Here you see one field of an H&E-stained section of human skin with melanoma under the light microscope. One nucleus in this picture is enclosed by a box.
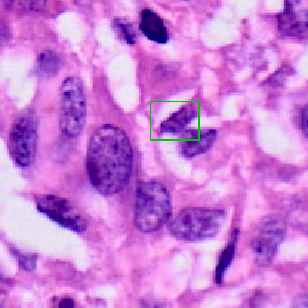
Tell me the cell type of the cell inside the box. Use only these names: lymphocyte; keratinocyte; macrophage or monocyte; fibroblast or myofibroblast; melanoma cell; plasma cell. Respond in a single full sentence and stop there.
In cellular terms, the cell inside the box is a melanoma cell.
